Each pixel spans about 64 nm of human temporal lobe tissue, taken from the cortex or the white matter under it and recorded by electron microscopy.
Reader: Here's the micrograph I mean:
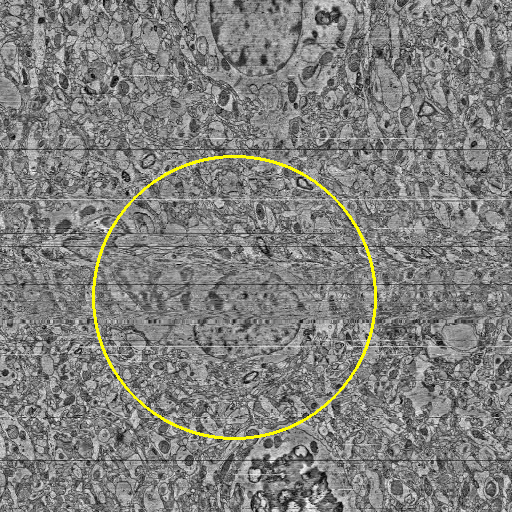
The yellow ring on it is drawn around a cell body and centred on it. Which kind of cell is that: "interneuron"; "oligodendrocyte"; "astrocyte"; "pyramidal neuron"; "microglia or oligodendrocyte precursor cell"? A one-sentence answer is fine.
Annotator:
The ring is centred on a microglial cell or oligodendrocyte precursor cell.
